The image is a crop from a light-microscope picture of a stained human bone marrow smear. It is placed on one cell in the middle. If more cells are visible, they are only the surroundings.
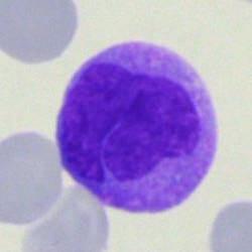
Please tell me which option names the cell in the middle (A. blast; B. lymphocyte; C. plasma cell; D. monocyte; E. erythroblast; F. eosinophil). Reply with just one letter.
D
